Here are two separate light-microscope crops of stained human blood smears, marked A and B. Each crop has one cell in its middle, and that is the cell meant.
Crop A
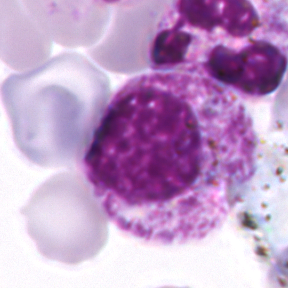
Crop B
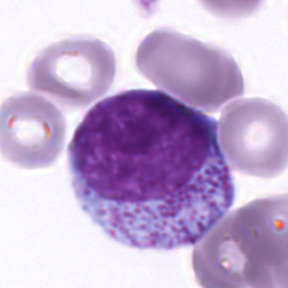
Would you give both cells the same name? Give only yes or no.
no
